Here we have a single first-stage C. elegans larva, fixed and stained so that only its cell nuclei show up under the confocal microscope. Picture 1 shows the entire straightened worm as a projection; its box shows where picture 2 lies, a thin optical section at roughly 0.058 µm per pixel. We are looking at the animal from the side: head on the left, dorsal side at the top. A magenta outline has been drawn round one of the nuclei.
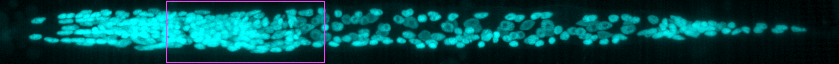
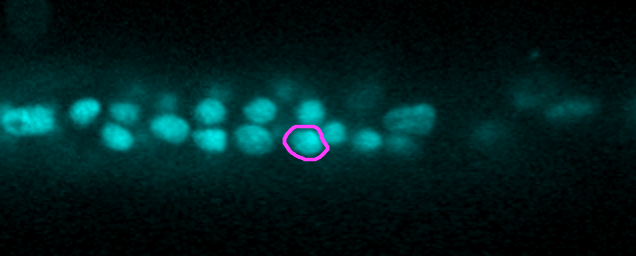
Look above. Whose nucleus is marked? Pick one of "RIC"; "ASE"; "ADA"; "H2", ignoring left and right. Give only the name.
RIC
